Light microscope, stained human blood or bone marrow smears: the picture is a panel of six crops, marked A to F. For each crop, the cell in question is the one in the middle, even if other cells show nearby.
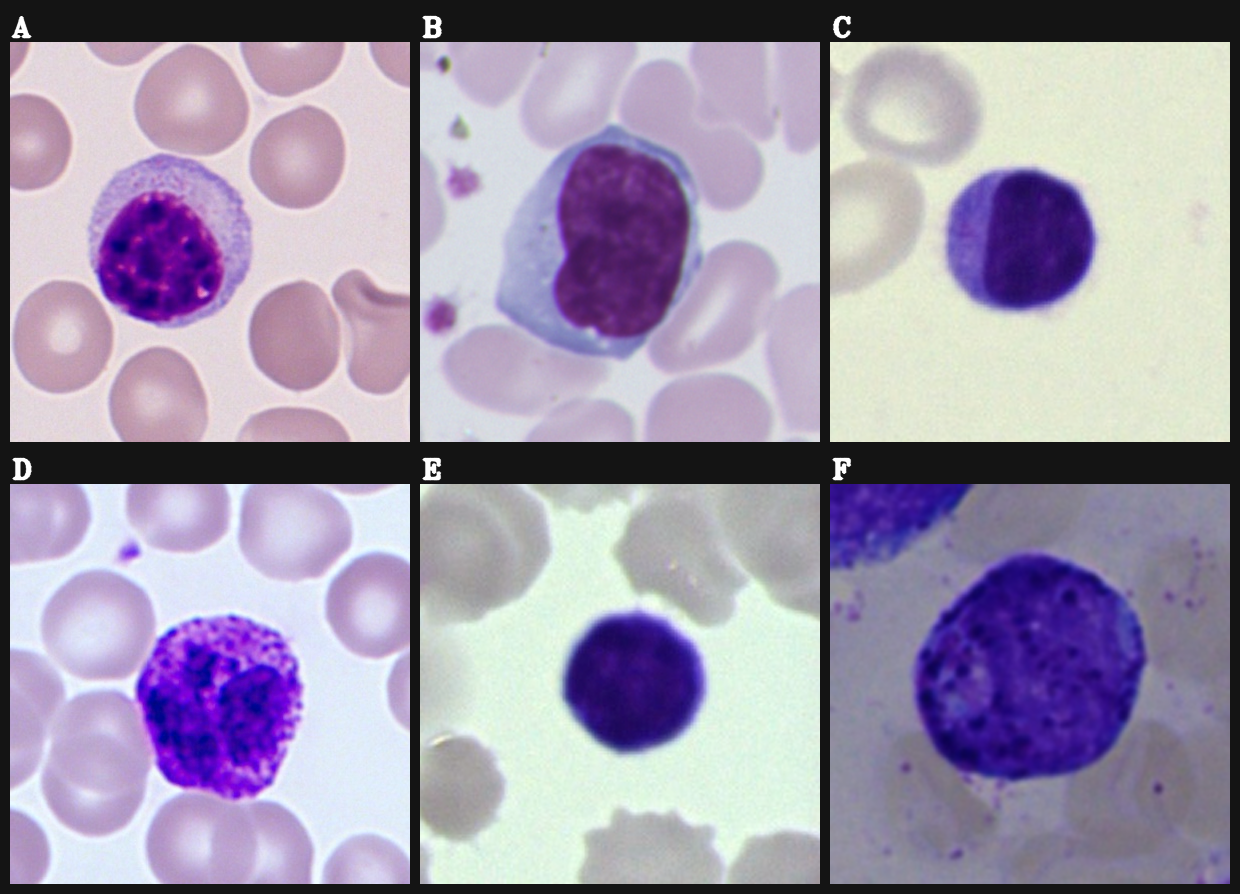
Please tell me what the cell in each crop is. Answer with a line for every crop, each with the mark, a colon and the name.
A: lymphocyte
B: lymphocyte
C: lymphocyte
D: basophil
E: lymphocyte
F: basophil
